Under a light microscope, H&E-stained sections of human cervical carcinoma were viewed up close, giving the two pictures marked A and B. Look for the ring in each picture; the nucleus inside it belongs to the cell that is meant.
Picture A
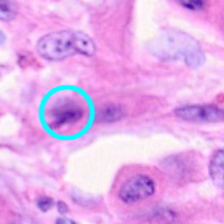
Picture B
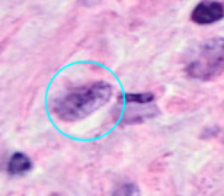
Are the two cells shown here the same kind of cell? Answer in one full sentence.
Yes, they are the same type: both are “macrophages or monocytes”.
